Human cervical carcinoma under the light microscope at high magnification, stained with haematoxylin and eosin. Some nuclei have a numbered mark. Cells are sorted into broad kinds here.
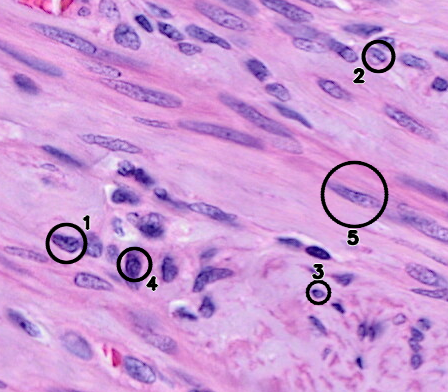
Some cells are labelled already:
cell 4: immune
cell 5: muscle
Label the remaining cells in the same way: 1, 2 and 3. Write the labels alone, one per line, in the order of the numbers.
immune
muscle
muscle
